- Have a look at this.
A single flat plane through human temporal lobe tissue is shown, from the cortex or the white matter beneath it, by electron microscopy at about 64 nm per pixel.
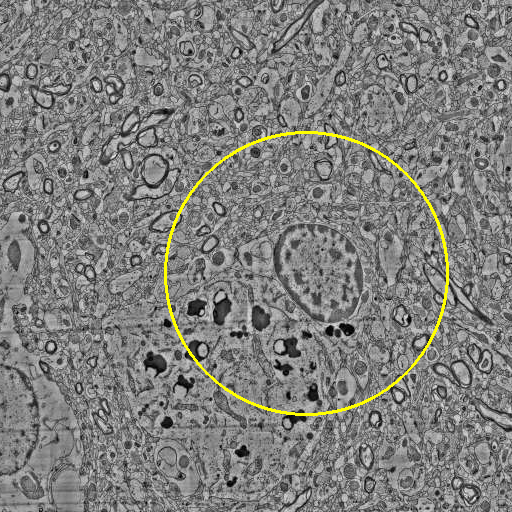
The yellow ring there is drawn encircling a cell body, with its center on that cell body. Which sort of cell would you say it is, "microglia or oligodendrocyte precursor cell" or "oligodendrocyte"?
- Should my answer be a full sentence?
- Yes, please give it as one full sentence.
For this picture, a microglial cell or oligodendrocyte precursor cell is the cell where the yellow ring has its center.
